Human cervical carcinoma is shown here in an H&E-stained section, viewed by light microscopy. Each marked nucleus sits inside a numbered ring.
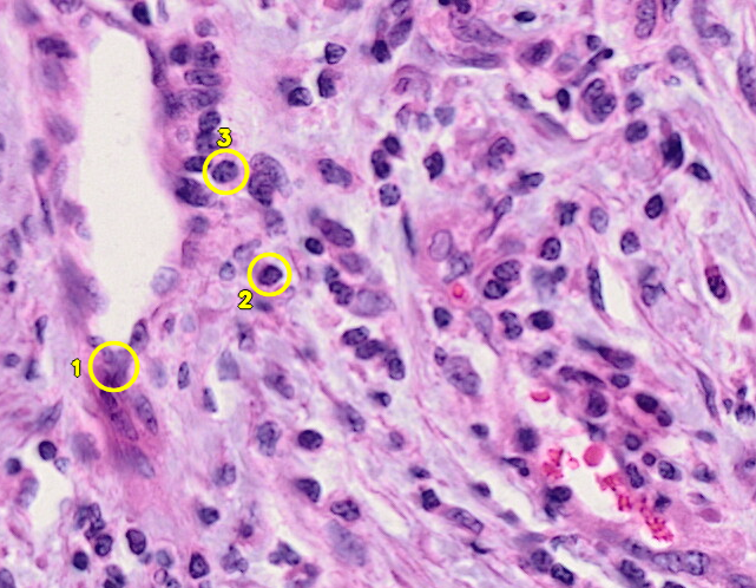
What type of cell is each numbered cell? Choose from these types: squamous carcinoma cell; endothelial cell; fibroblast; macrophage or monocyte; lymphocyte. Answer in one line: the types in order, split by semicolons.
endothelial cell; lymphocyte; lymphocyte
